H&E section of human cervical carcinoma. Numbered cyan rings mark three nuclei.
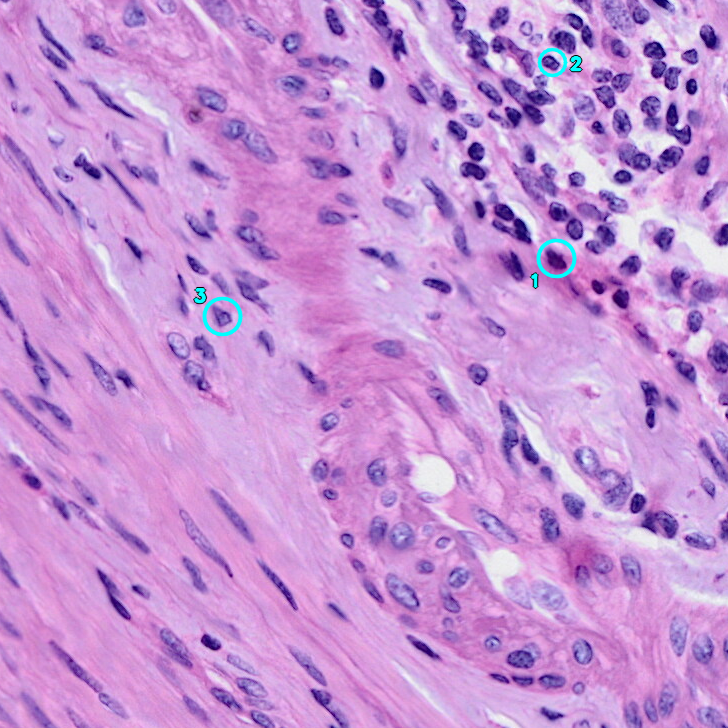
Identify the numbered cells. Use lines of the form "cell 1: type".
cell 1: lymphocyte
cell 2: lymphocyte
cell 3: fibroblast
